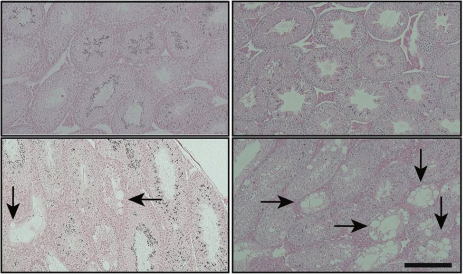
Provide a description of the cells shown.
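These are cross sections of seminiferous tubules, packed side by side, with a pink-stained wall of germ cells and dark purple nuclei around a central lumen. In the upper images the tubules are fairly regular, with even layers of cells around a small open lumen. In the lower images many tubules hold large, clear, rounded holes within the cell layers, and the black arrows point to such vacuolated tubules.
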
